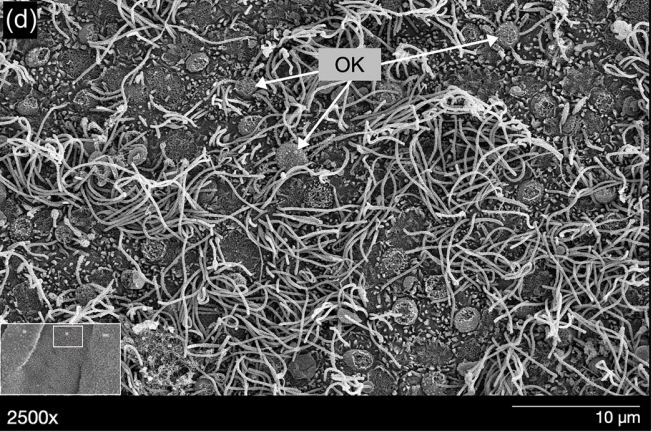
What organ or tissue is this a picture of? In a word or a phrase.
Sensory epithelia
